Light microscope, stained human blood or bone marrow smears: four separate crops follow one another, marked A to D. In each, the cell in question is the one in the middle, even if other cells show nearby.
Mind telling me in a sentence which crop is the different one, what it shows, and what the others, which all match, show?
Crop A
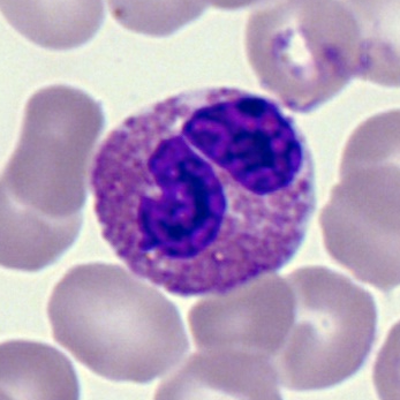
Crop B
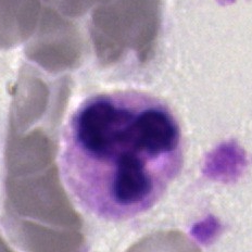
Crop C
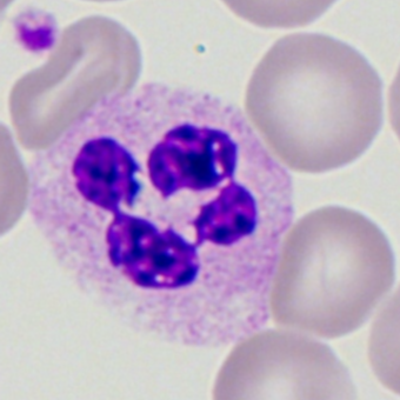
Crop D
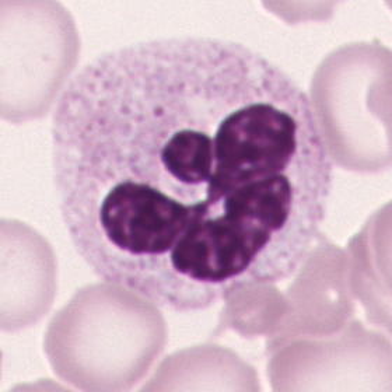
Among these crops, neutrophils occur in all but crop A, which contains an eosinophil.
